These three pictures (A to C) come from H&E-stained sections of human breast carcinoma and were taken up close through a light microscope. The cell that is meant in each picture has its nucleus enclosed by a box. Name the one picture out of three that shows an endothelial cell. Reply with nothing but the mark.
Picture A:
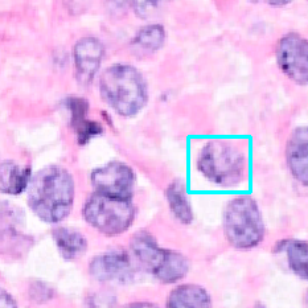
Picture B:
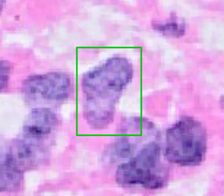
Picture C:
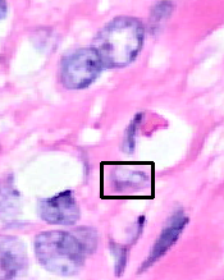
C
